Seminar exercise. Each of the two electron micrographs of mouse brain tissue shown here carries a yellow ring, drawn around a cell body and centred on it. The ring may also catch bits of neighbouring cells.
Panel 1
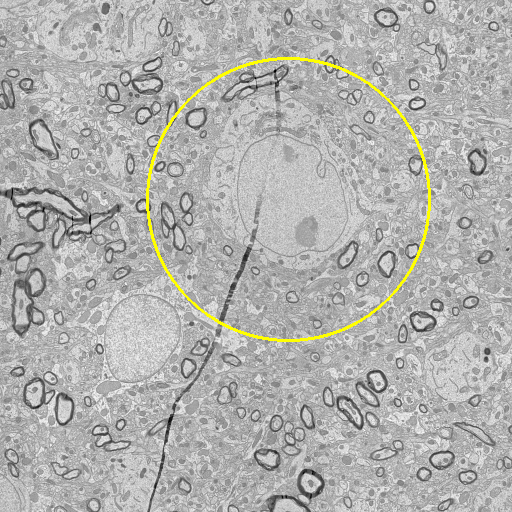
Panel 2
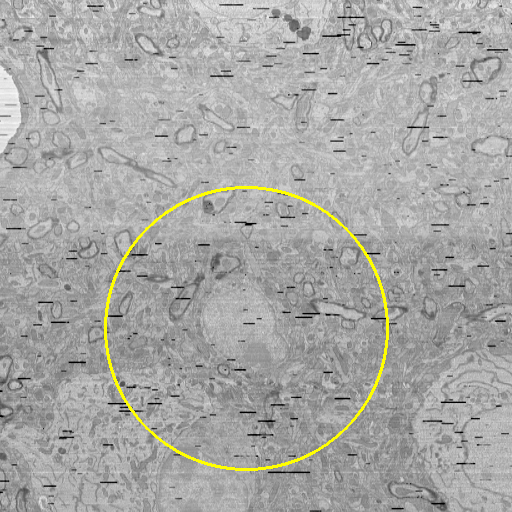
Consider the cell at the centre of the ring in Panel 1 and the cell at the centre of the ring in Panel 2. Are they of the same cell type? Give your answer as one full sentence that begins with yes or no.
No, the two cells are of two types.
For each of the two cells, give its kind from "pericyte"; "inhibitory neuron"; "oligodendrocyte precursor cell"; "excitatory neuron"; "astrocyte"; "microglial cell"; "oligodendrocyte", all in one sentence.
The first picture has an excitatory neuron in its ring, the second has an astrocyte.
